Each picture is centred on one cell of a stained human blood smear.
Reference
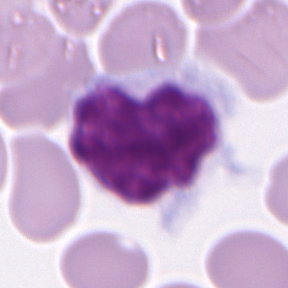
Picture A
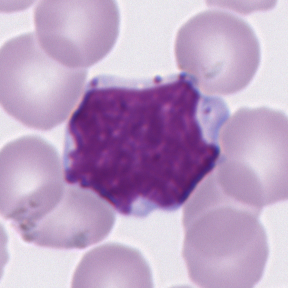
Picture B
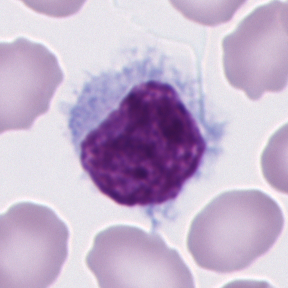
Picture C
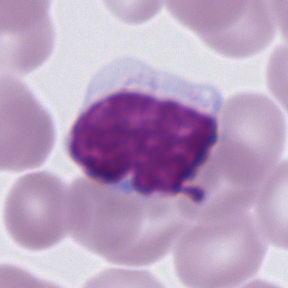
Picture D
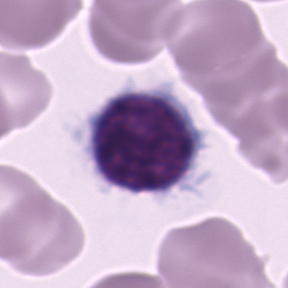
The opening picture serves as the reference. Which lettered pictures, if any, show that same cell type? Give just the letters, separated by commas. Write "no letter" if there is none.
B, D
